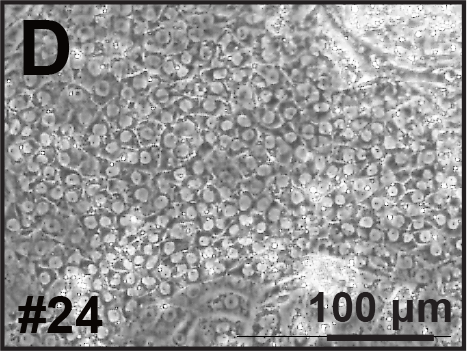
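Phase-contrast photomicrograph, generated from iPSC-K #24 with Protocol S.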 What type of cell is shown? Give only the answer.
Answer: Hepatocyte-like cells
